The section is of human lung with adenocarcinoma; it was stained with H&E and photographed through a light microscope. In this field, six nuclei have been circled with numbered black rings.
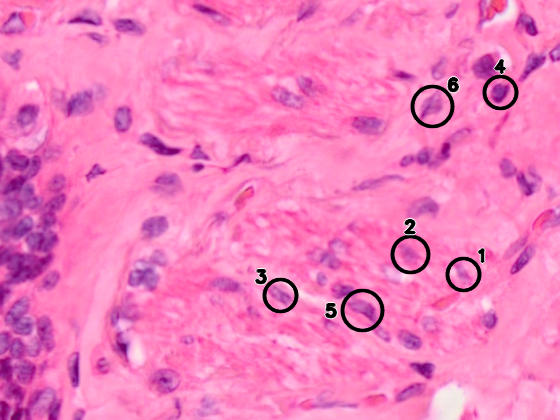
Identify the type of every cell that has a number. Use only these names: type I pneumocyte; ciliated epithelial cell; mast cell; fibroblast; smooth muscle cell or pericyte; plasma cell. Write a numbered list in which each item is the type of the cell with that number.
1. smooth muscle cell or pericyte
2. smooth muscle cell or pericyte
3. smooth muscle cell or pericyte
4. mast cell
5. smooth muscle cell or pericyte
6. fibroblast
